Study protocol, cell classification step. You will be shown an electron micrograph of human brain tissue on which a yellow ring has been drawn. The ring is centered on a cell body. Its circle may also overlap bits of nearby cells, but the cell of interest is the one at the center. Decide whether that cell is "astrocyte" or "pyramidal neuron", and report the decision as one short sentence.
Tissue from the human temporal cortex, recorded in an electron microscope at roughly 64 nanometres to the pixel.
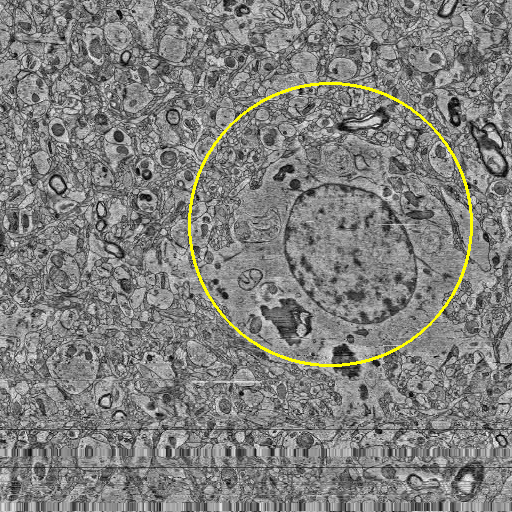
The marked cell is an astrocyte.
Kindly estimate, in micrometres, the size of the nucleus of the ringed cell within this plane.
In this plane, about 10 micrometres in length and 8 in width.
